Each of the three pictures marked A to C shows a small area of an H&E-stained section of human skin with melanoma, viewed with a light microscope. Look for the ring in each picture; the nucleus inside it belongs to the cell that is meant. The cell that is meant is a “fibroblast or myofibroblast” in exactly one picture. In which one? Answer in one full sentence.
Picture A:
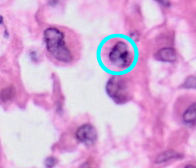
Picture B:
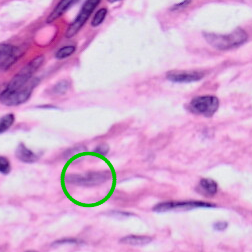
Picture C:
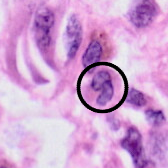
Picture B is the one that shows the “fibroblast or myofibroblast”.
